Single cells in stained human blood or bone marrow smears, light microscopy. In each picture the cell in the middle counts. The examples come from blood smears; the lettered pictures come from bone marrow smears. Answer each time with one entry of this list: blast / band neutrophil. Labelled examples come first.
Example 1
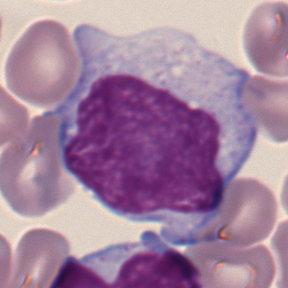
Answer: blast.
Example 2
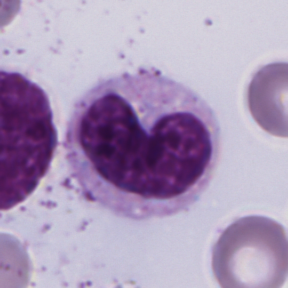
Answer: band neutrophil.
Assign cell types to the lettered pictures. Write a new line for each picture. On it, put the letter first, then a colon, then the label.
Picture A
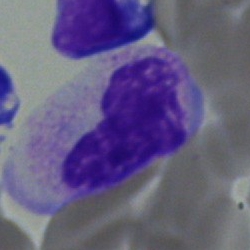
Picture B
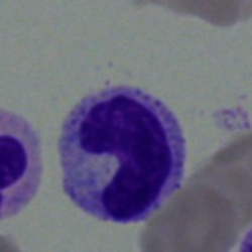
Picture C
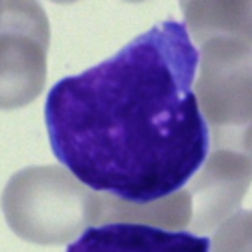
A: band neutrophil.
B: band neutrophil.
C: blast.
